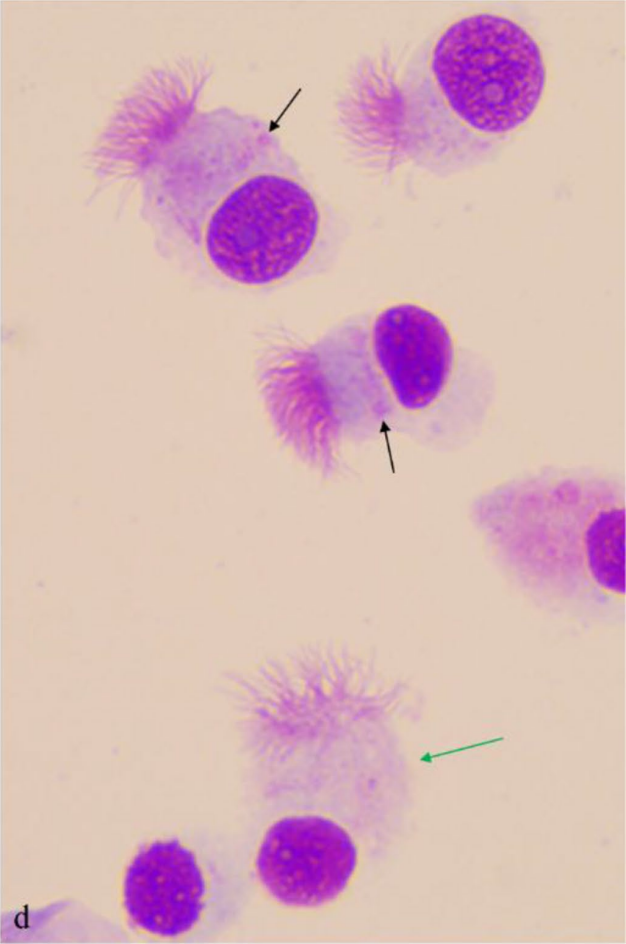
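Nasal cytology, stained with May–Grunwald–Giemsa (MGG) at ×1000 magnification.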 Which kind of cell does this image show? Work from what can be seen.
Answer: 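Cells with a tuft of fine hair-like projections at one end. A round nucleus at the opposite end of each cell.
Conclusion: Ciliated cells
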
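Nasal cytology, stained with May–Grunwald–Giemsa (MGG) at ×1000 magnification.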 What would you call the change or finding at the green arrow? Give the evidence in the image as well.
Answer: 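The marked cell has pale, washed-out cytoplasm. Its cilia are fainter than those of the other ciliated cells. That points to this answer: ciliocytophthoria.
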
